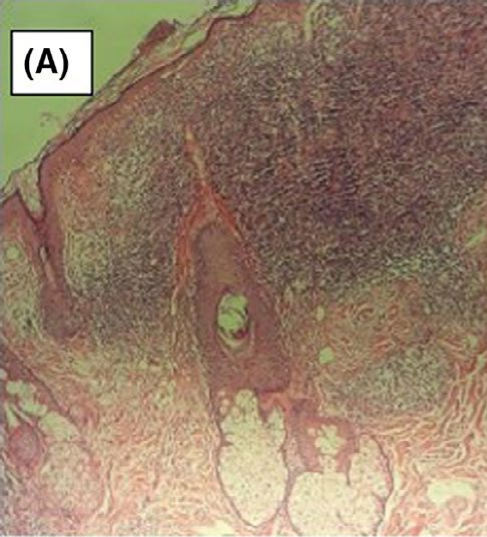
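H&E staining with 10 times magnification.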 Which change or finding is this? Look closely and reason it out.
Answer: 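A dense, dark purple sheet of small cells fills much of the dermis beneath the epidermis. The dense cellular area extends around a follicle-like epithelial structure. Paler collagen and fat lobules lie deeper, with fewer cells. On this evidence: severe infiltration in the upper and middle dermis.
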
